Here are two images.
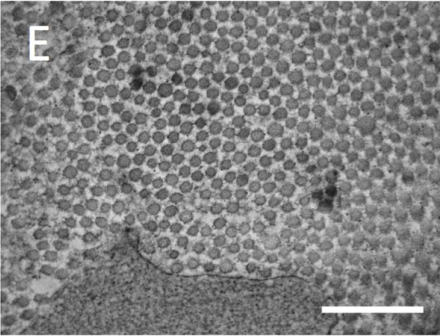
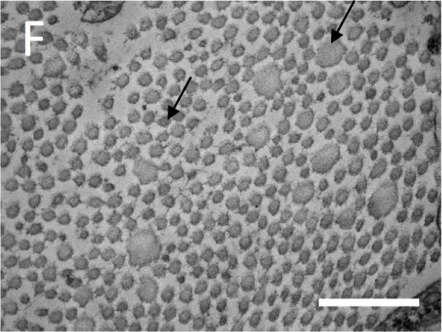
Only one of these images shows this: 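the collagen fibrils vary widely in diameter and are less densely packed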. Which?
The second image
